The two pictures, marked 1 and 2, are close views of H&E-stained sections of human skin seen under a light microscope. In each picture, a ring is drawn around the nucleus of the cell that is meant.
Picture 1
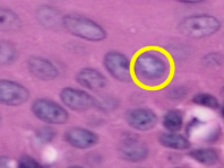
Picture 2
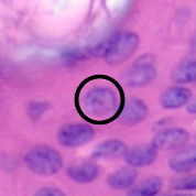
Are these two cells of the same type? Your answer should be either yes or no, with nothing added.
yes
